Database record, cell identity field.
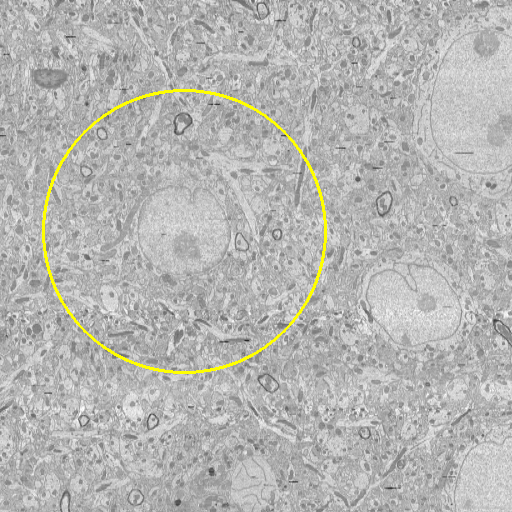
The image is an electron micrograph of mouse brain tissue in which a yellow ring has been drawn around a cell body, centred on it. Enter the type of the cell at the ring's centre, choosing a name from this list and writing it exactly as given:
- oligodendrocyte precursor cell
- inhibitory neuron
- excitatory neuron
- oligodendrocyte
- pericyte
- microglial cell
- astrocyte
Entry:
astrocyte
